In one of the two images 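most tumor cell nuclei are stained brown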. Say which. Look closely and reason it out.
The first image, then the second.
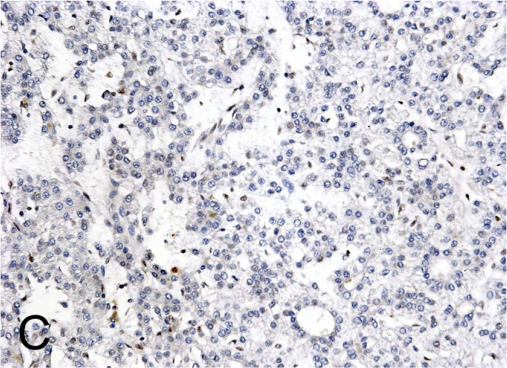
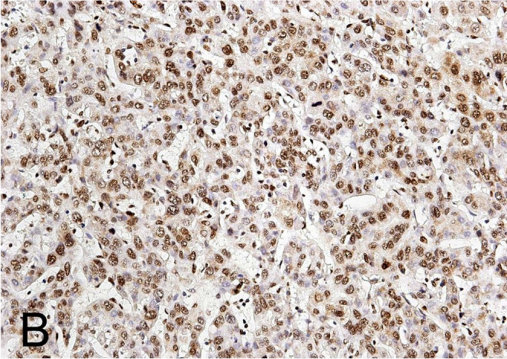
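The second image. First image: tumor cell nuclei are blue, with only a few scattered brown nuclei.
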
